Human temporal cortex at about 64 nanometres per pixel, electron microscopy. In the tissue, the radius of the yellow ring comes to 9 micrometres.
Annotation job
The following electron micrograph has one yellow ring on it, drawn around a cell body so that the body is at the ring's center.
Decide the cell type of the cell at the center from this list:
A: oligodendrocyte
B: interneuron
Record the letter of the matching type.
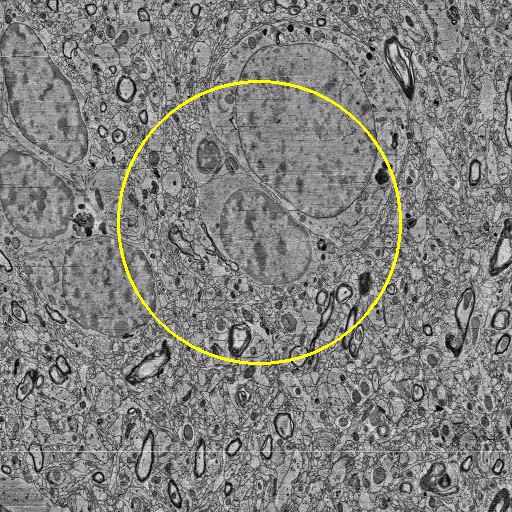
A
